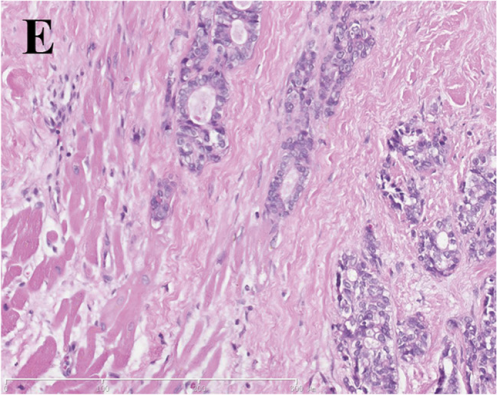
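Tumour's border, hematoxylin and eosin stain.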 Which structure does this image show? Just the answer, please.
glandular structures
